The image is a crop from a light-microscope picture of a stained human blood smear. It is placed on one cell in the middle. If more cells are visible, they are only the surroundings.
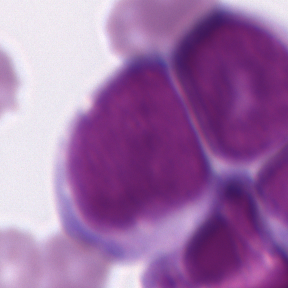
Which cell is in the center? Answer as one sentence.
In the central position of this crop, the cell is a blast.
